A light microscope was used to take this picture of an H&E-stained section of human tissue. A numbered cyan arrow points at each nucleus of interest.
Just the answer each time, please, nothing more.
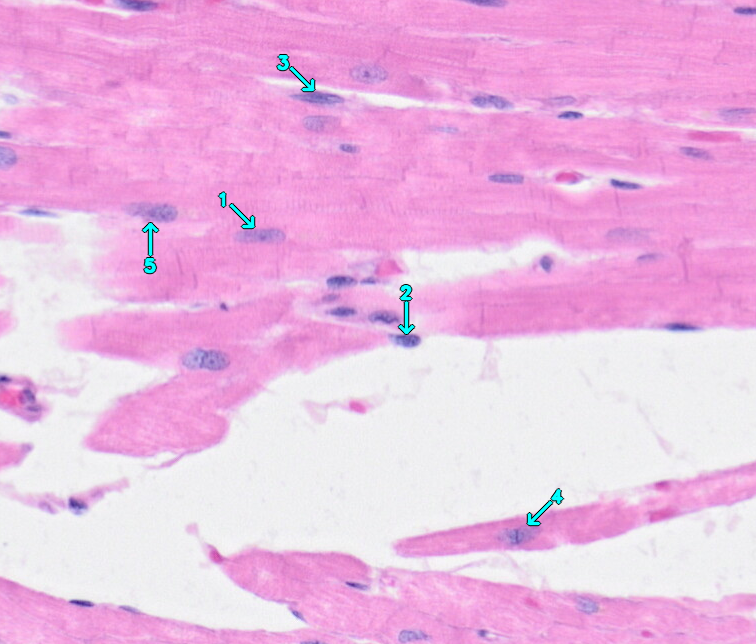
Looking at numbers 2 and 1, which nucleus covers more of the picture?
1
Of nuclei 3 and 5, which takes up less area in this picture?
3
